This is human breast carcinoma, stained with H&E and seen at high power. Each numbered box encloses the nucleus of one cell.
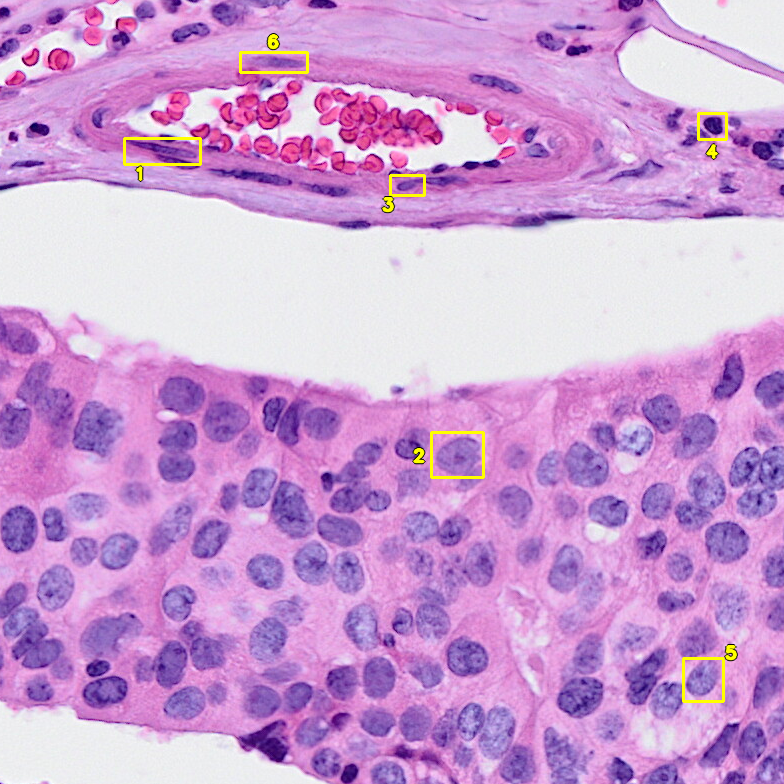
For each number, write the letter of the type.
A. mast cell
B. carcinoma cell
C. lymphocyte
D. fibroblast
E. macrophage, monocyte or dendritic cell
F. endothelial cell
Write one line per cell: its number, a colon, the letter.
1: F
2: B
3: F
4: C
5: B
6: F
